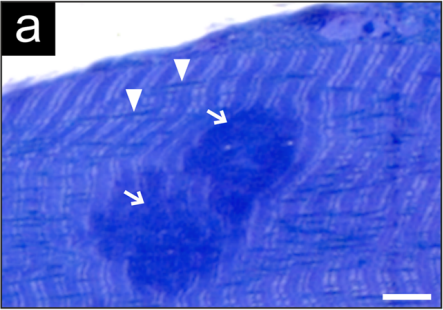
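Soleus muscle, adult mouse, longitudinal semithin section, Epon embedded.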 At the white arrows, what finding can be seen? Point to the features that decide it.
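Darkly stained macrolesions. Two large rounded patches stain darker blue than the surrounding fibre. Within the patches the cross-striation is lost.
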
